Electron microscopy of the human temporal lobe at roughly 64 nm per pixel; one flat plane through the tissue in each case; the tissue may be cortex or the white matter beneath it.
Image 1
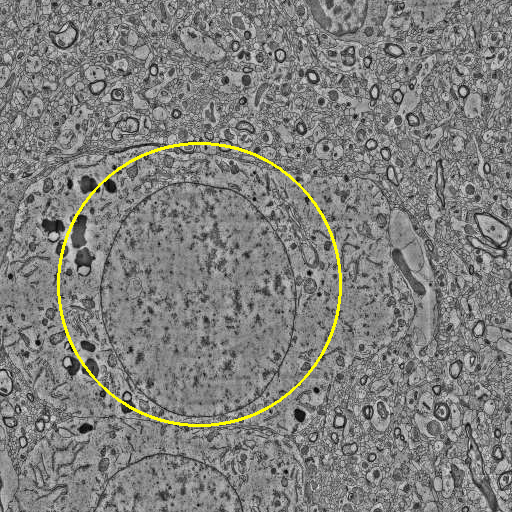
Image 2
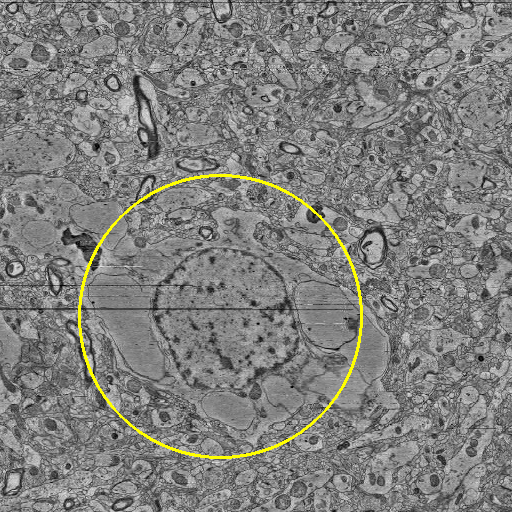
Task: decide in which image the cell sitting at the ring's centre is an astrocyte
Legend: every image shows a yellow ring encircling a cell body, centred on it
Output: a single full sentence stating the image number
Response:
In image 2, the cell at the middle of the ring is the match.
